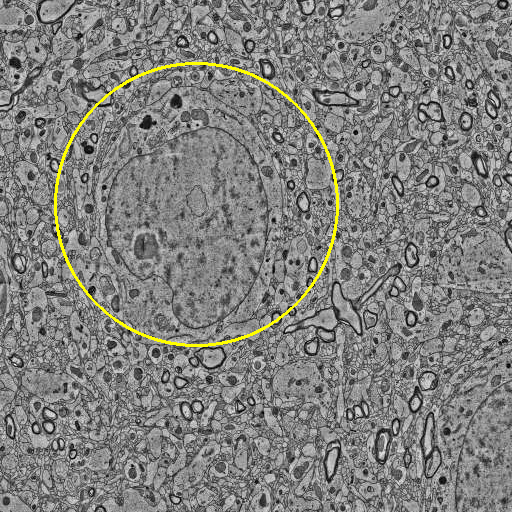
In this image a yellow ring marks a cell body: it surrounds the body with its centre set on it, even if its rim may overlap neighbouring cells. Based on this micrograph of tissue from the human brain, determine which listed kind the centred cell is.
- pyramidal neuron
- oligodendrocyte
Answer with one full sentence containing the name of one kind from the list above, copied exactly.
It is a pyramidal neuron whose body the yellow ring encloses at its centre.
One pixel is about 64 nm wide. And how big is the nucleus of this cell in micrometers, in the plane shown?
Approximately 13 micrometres long and 10 micrometres wide, in this plane.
